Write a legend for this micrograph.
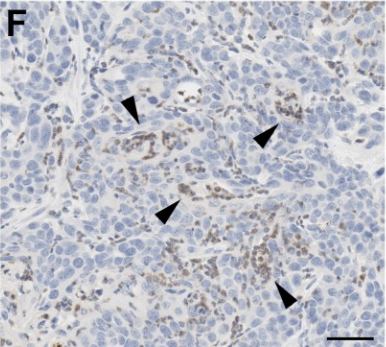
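Invasive cancer: crowded sheets of atypical epithelial cells with enlarged oval blue nuclei and scant pale cytoplasm. Tumour cells themselves are unstained.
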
